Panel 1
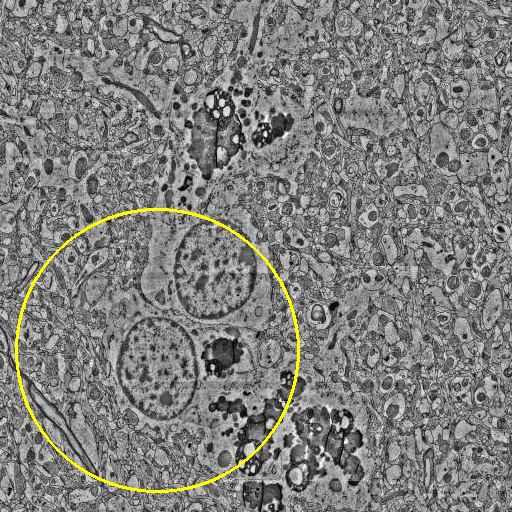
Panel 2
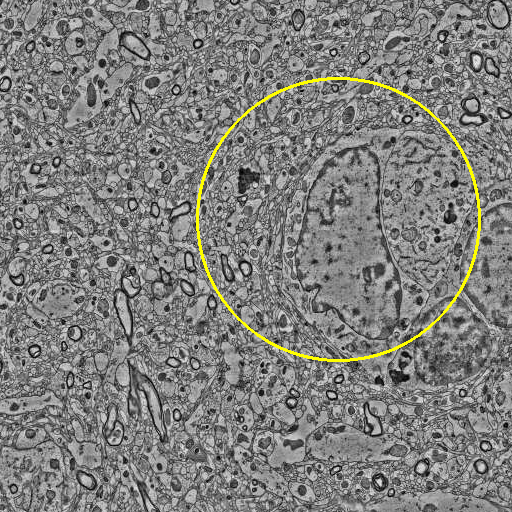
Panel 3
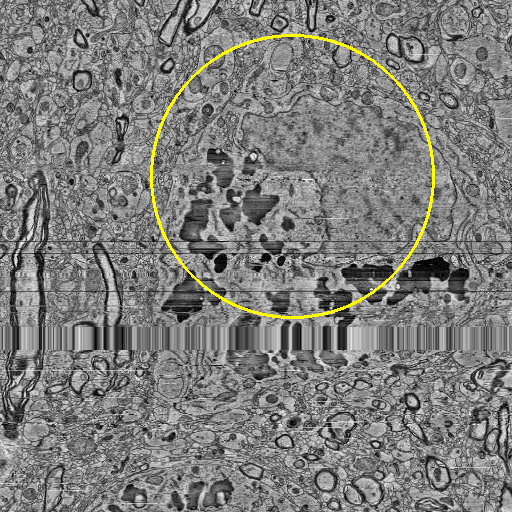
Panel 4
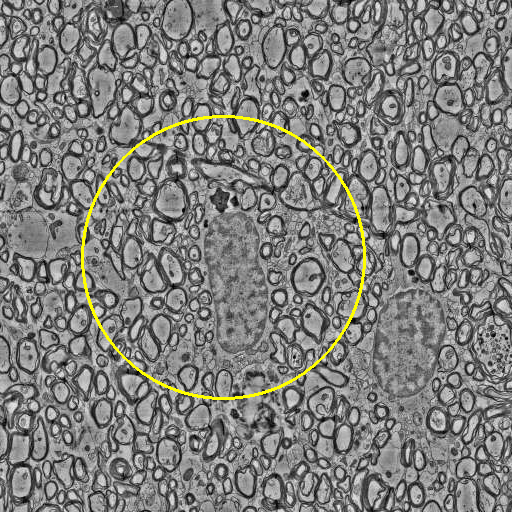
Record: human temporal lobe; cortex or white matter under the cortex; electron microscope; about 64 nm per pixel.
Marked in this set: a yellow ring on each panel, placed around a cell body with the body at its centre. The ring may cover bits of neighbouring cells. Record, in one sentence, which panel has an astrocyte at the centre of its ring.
Panel 1 has it at the centre of its ring.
